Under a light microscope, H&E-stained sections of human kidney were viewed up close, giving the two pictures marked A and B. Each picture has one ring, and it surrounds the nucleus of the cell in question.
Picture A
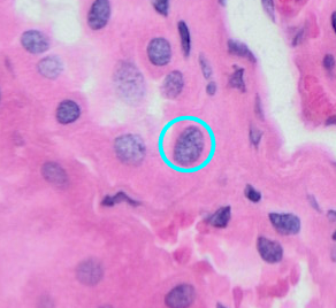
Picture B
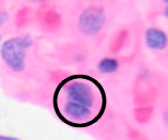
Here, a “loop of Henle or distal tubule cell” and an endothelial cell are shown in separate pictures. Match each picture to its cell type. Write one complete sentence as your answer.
The cell in picture A is a “loop of Henle or distal tubule cell”, and the one in picture B is an endothelial cell.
